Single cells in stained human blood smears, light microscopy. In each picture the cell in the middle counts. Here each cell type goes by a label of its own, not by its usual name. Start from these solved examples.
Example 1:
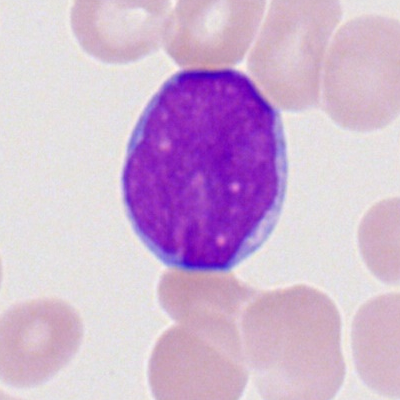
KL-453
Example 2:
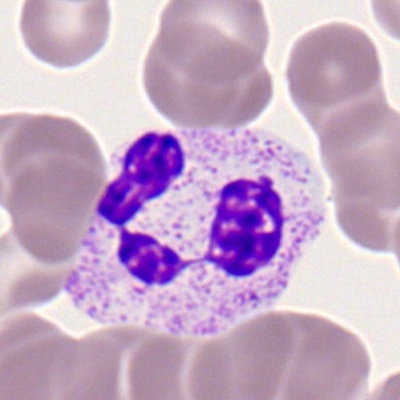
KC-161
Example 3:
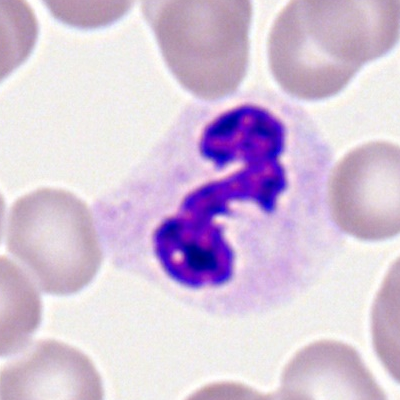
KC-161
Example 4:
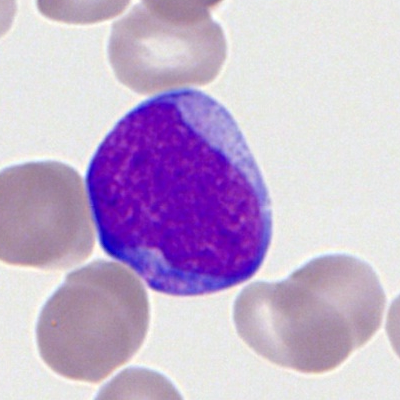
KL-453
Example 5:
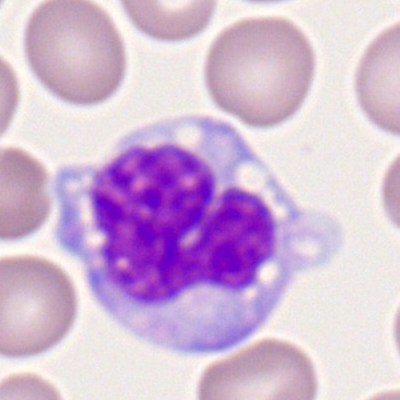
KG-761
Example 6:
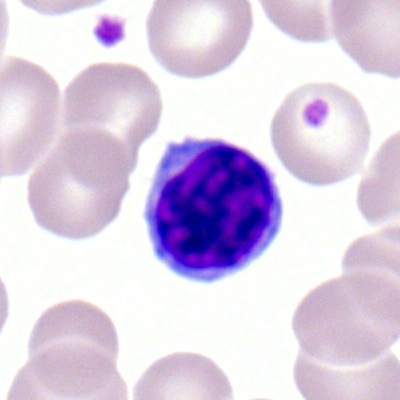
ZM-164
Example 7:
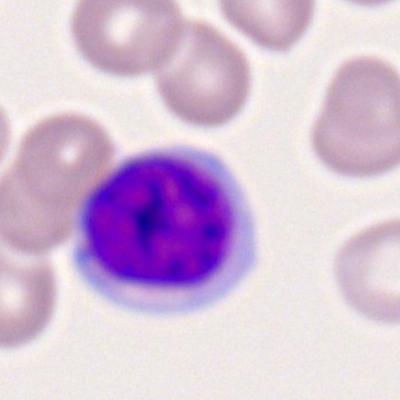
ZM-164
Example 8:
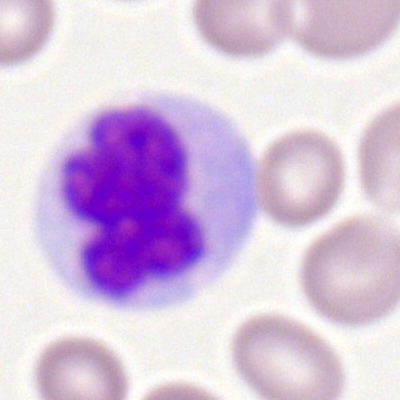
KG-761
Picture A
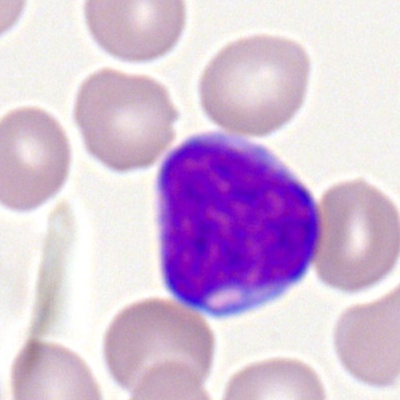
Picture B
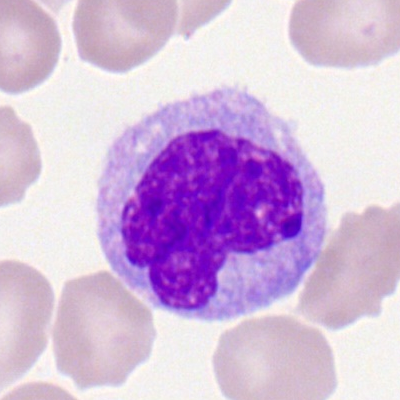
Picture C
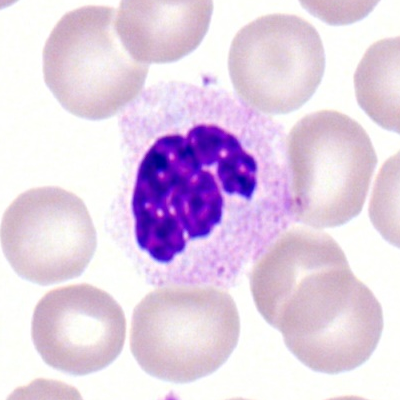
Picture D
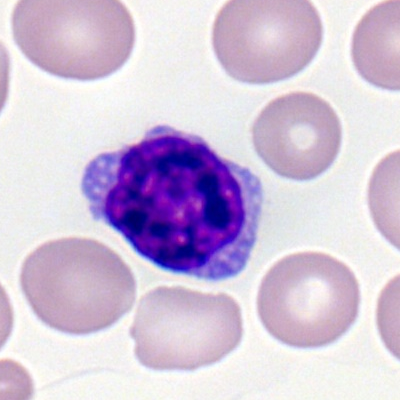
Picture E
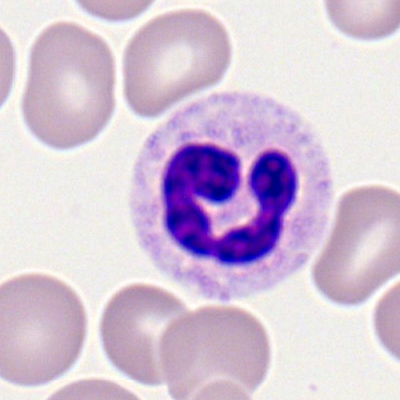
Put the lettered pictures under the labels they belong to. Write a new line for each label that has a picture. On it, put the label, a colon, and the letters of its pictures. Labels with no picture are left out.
KL-453: A
KC-161: C, E
KG-761: B
ZM-164: D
